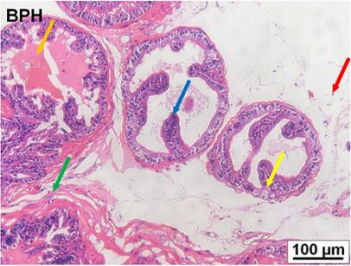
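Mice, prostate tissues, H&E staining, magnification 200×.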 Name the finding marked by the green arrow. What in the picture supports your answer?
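The arrow points to dense pink fibrous stroma between glands. The stroma is thick and compactly arranged compared with loose pale areas elsewhere.
Hyperplasia of connective tissue.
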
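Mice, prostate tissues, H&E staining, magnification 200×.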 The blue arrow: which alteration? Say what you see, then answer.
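The arrow points to a fold of crowded epithelium projecting into a gland lumen. The epithelium lining the glands is multilayered with densely packed purple nuclei.
Epithelial cell hyperplasia with papillary projection.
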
